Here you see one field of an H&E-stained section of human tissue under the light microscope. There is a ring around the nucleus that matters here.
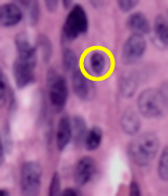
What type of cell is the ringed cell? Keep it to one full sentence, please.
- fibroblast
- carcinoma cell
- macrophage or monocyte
In the tissue at hand, the ringed cell is a macrophage or monocyte.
